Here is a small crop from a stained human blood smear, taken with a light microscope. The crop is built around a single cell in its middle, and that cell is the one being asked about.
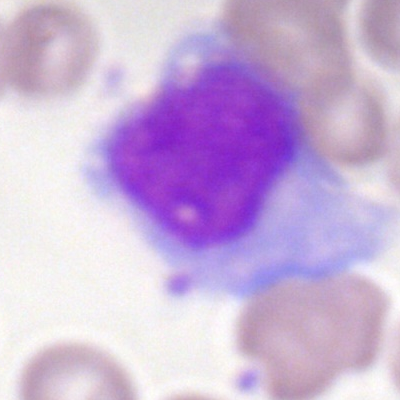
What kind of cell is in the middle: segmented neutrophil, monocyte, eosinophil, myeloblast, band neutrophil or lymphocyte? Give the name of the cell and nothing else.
monocyte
